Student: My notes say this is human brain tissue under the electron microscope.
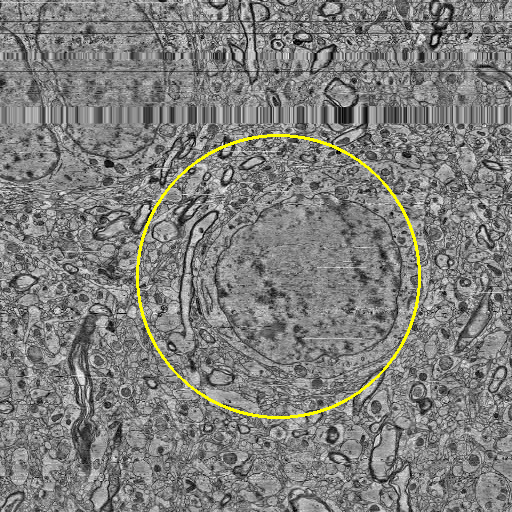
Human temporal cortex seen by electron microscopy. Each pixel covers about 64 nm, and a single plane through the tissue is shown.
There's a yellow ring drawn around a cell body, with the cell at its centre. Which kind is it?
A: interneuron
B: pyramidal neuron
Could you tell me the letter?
B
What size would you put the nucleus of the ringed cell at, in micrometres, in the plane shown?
In this plane, roughly 12 micrometres across.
